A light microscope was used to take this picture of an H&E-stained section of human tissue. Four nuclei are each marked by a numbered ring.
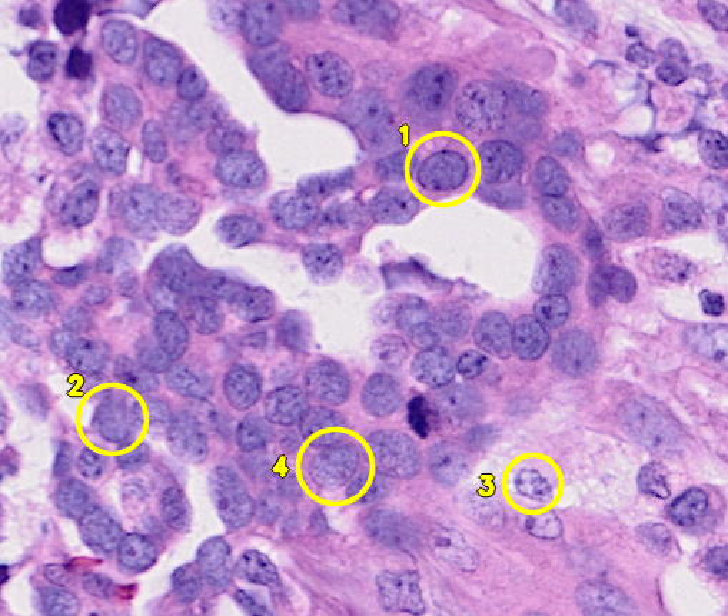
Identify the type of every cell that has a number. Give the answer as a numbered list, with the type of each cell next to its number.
1. carcinoma cell
2. carcinoma cell
3. macrophage or monocyte
4. carcinoma cell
